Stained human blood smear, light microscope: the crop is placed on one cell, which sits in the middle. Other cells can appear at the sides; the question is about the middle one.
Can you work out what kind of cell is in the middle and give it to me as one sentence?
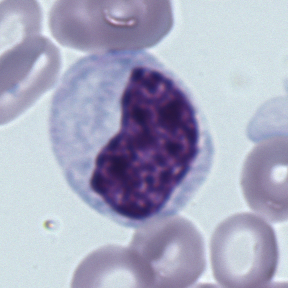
What sits at the centre of this crop is a metamyelocyte.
